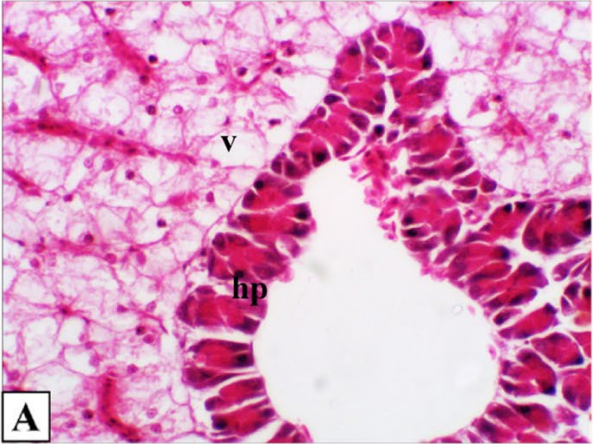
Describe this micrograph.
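A field of liver tissue in which most of the area is taken by polygonal liver cells with pale, clear, finely netted cytoplasm and small round dark nuclei. The cuff around the vessel is pancreatic tissue lying within the liver, the arrangement that makes this organ a hepatopancreas. The pale liver cells are vacuolated hepatocytes, their cytoplasm appearing cleared in the stained section.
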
